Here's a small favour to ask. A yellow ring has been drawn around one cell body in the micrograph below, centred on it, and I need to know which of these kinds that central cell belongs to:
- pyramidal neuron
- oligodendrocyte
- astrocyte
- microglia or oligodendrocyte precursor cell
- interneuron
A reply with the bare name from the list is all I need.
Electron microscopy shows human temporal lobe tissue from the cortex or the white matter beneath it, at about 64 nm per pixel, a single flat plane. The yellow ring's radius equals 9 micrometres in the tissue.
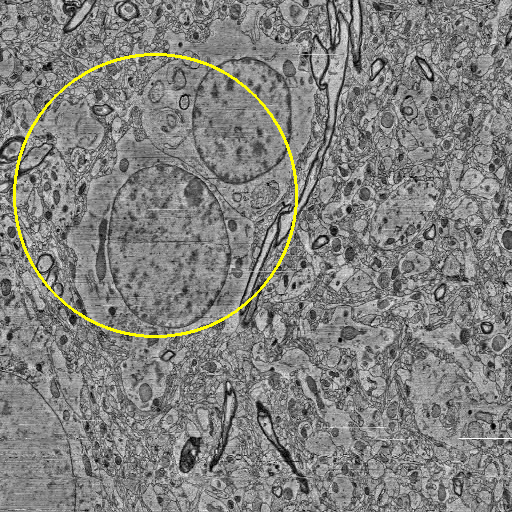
astrocyte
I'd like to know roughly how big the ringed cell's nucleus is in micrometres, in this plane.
The ringed cell's nucleus measures approximately 11 by 8 micrometres in this plane.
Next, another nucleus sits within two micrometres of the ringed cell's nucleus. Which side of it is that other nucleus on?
That other nucleus sits to the upper right of it.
